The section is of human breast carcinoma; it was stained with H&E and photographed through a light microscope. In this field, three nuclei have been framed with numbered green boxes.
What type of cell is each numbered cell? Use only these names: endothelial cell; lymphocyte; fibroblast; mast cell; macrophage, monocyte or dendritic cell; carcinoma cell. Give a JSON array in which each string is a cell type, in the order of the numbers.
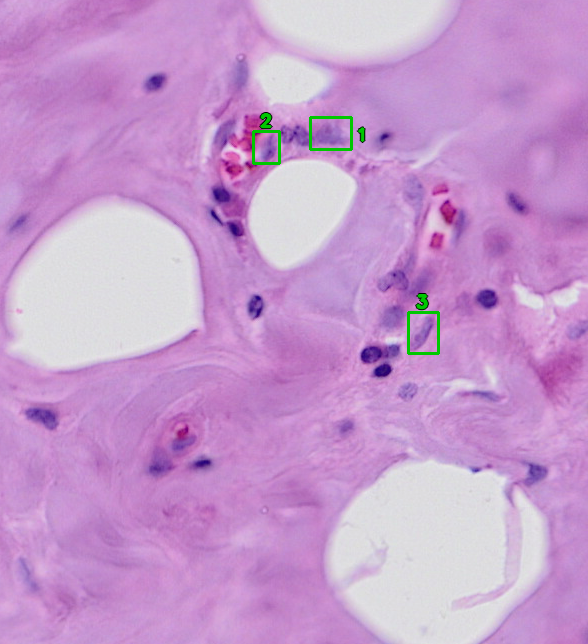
["fibroblast", "endothelial cell", "fibroblast"]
